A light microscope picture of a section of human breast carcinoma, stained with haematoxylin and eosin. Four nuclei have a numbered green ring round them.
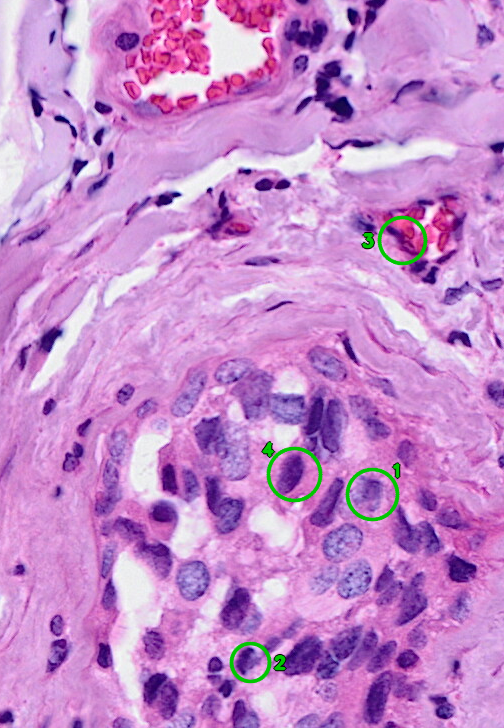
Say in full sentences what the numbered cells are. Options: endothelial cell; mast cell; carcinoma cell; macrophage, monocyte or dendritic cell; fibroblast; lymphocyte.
Cell 1 is a carcinoma cell, cell 2 is a carcinoma cell, cell 3 is an endothelial cell and cell 4 is a carcinoma cell.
